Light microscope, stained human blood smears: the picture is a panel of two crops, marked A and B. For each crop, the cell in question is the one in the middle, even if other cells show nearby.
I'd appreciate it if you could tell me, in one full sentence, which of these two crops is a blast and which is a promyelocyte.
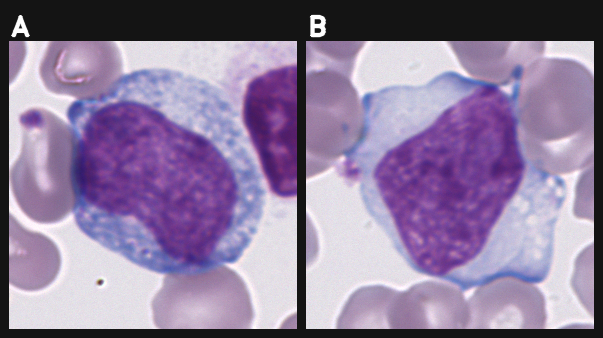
For crop A the cell is a promyelocyte, and for crop B it is a blast.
